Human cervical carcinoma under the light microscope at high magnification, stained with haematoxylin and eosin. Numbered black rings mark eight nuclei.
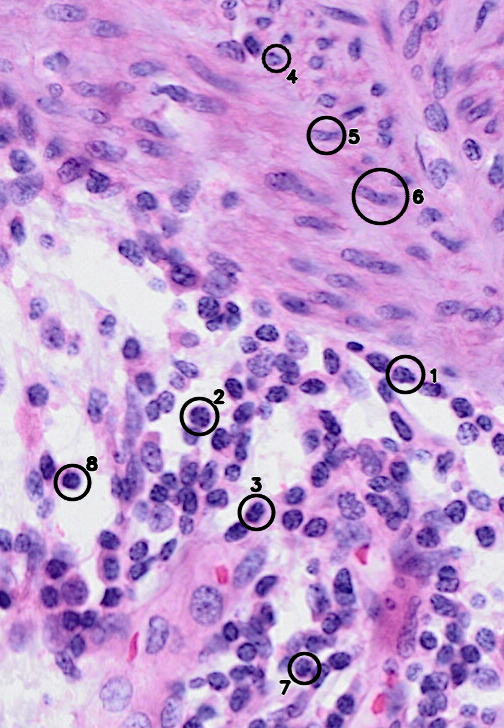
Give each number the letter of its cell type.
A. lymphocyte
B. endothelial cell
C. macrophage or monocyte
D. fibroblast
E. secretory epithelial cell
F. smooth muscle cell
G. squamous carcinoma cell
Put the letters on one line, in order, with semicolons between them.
A; A; A; F; F; F; A; A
